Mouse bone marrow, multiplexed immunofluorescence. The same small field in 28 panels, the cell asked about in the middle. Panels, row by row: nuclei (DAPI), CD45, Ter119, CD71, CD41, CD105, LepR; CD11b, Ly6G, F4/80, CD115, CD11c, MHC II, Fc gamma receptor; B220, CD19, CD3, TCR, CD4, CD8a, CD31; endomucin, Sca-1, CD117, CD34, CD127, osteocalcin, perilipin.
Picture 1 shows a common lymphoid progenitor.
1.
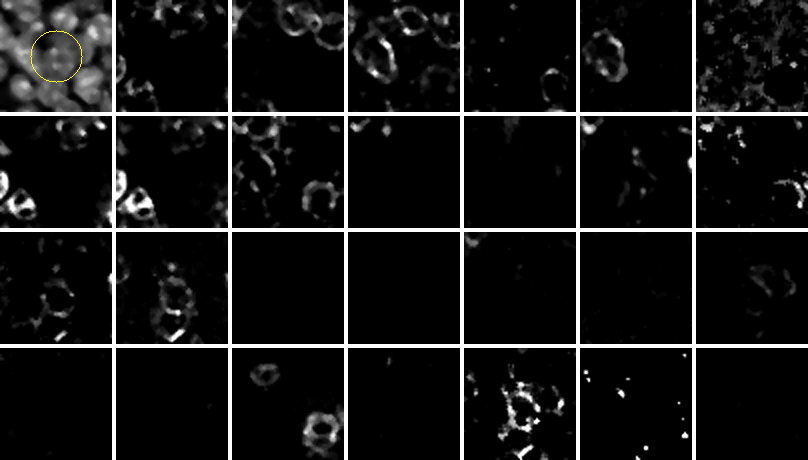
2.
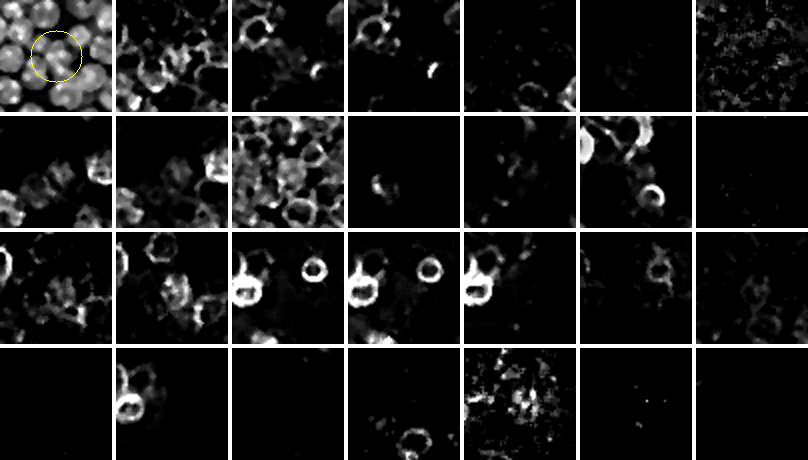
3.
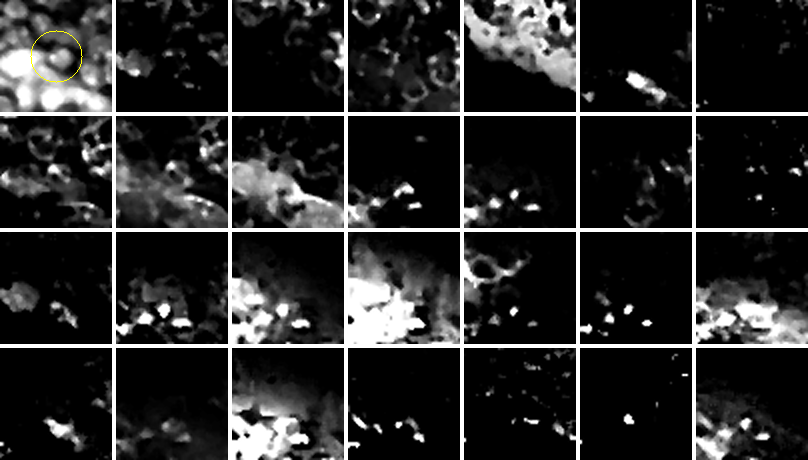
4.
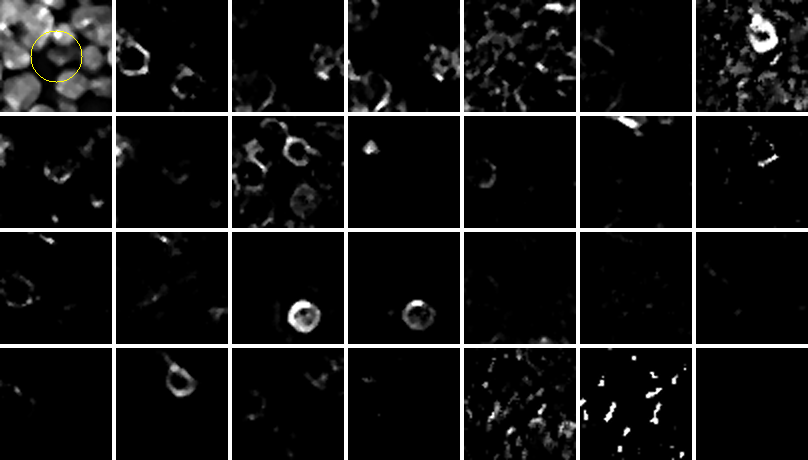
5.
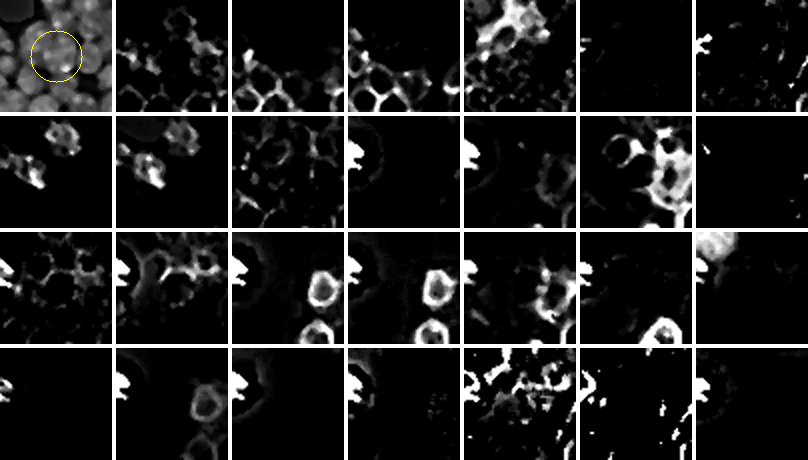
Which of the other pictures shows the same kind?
Picture 5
